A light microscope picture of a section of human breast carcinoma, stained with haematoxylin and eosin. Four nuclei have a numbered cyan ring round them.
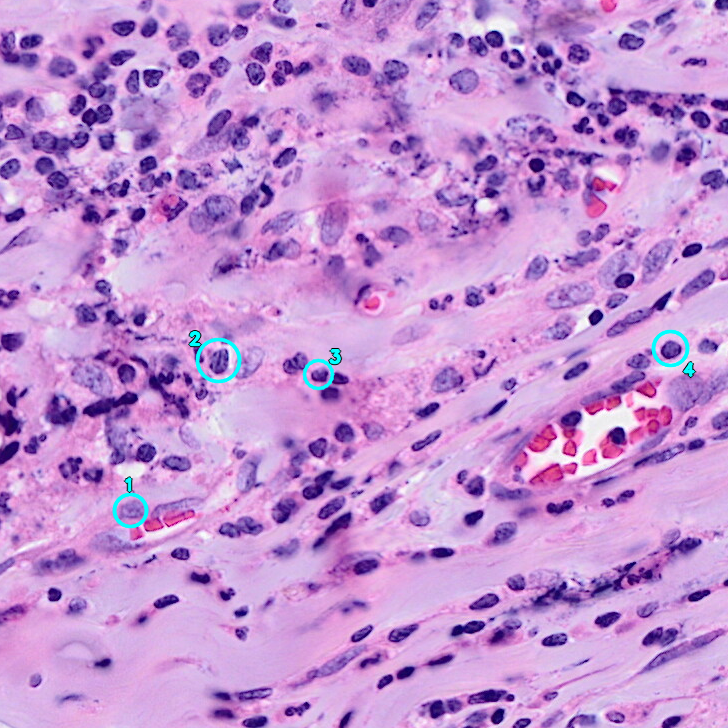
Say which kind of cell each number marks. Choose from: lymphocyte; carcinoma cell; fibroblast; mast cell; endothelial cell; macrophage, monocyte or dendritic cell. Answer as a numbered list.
1. endothelial cell
2. lymphocyte
3. lymphocyte
4. lymphocyte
